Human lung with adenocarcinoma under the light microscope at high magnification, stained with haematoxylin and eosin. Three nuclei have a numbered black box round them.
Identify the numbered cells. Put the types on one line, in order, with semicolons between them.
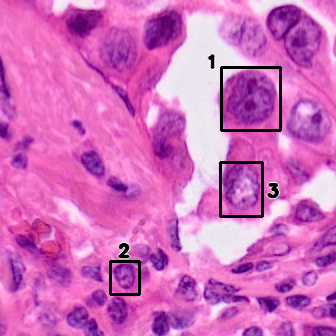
carcinoma cell; plasma cell; carcinoma cell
